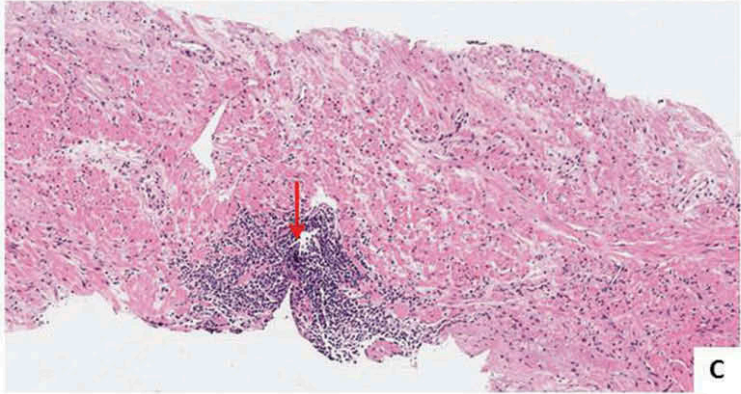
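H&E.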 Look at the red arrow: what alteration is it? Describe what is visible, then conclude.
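A focal dense cluster of small dark nuclei. The cluster stands out in pale pink fibromuscular stroma.
Hence: lymphocyte aggregation.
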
